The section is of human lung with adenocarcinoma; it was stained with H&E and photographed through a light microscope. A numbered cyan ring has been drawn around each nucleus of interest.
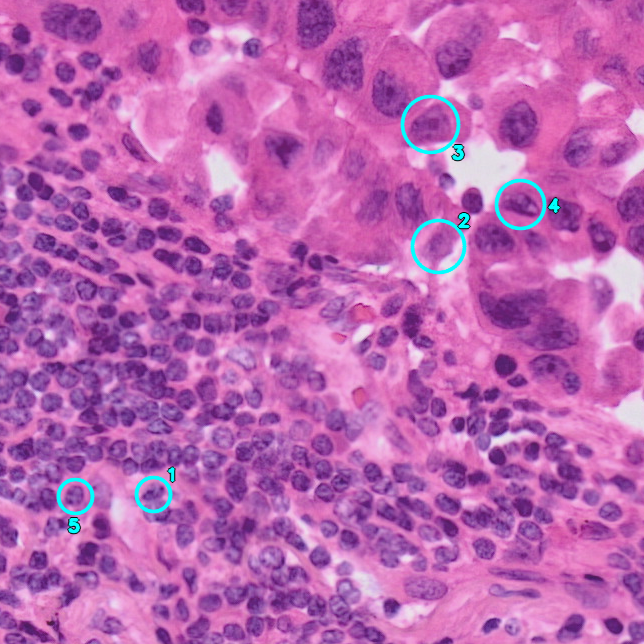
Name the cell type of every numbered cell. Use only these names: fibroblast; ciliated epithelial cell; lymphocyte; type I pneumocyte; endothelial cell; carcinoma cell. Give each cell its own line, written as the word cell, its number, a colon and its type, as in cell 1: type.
cell 1: lymphocyte
cell 2: carcinoma cell
cell 3: carcinoma cell
cell 4: carcinoma cell
cell 5: lymphocyte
